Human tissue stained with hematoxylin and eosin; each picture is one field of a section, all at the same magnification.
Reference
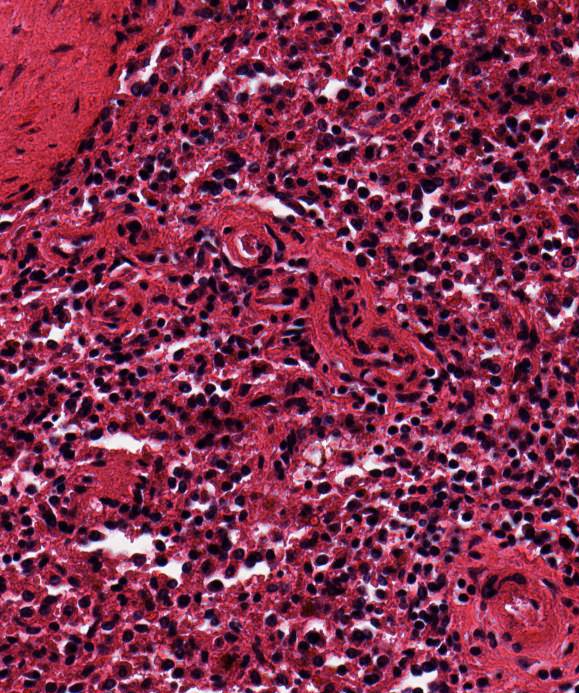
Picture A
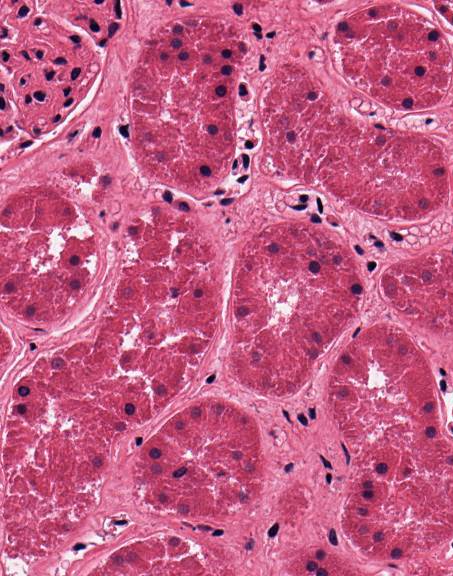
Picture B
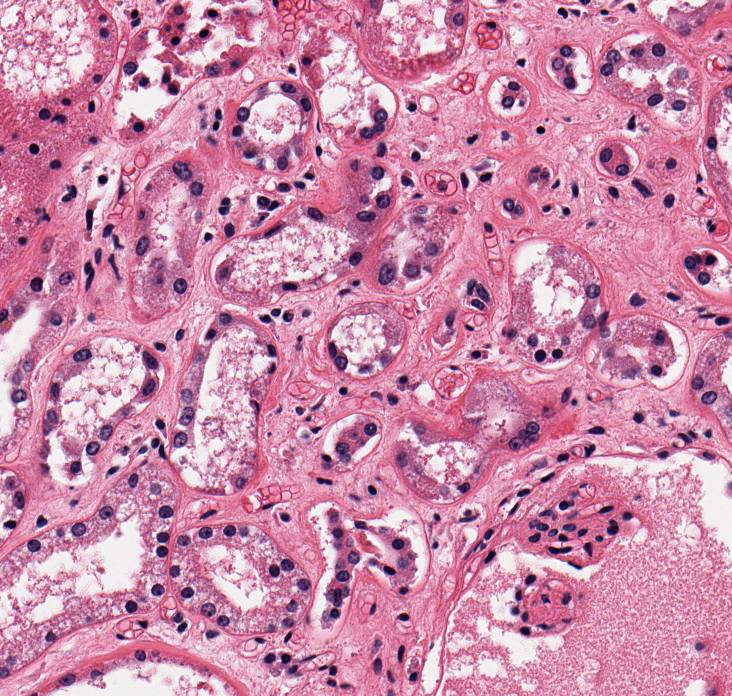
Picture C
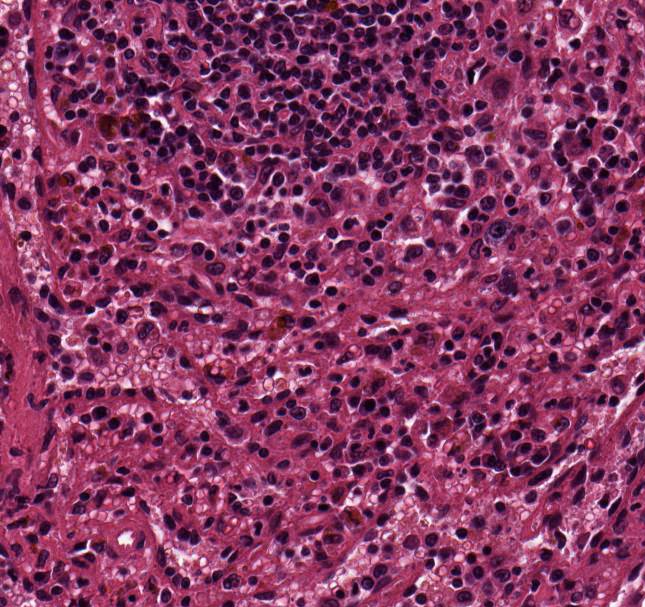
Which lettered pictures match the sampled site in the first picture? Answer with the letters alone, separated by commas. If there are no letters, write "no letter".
C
